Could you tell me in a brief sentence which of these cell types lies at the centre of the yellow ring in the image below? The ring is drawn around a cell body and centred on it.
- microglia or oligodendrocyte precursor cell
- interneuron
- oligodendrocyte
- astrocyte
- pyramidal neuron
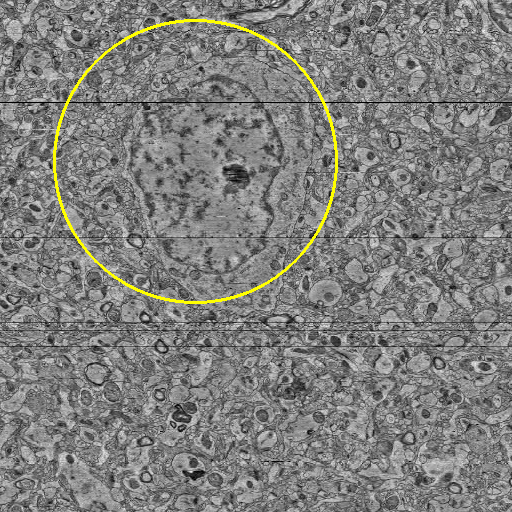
The cell centred in the ring is an interneuron.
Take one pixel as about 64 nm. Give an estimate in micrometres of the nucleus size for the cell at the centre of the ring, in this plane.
Roughly 13 micrometres by 10 micrometres, in this plane.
